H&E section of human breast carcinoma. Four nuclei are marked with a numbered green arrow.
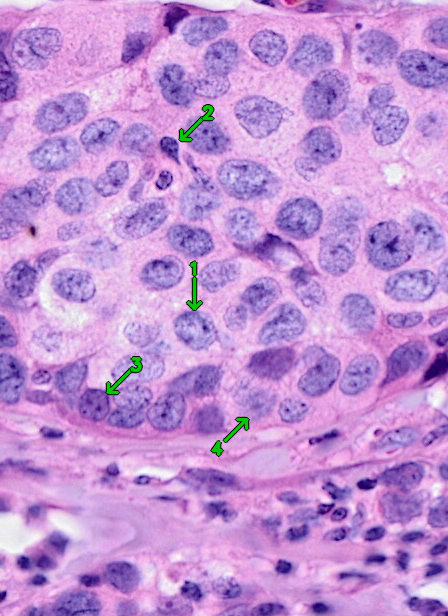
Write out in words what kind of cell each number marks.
Cells 1, 3 and 4 are carcinoma cells. Cell 2 is a lymphocyte.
